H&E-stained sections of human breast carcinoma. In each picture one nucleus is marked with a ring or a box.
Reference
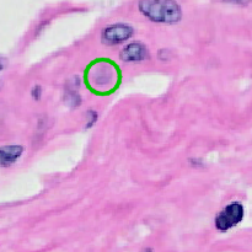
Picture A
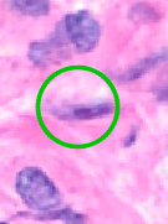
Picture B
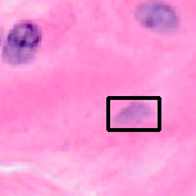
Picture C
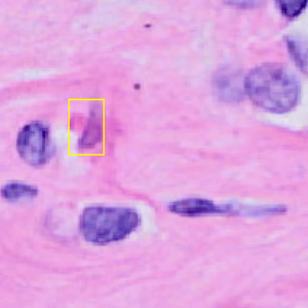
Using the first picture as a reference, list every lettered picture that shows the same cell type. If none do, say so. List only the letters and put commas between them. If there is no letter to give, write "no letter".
C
